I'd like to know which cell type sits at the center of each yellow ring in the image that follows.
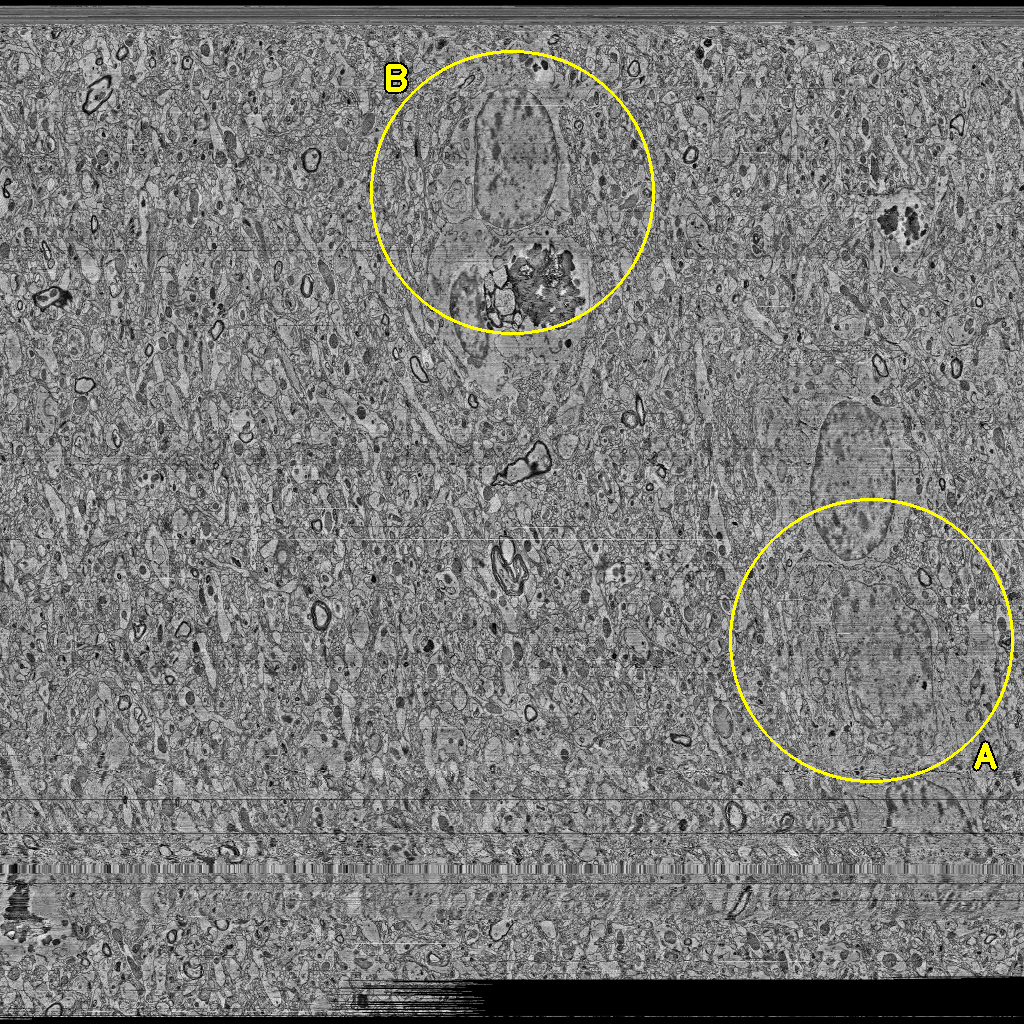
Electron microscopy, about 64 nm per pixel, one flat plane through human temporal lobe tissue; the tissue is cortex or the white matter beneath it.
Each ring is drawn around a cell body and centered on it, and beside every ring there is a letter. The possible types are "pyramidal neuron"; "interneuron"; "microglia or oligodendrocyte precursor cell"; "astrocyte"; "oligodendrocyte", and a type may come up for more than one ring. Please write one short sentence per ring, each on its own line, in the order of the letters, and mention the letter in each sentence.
The cell at the center of ring A is an interneuron.
The cell at the center of ring B is an astrocyte.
